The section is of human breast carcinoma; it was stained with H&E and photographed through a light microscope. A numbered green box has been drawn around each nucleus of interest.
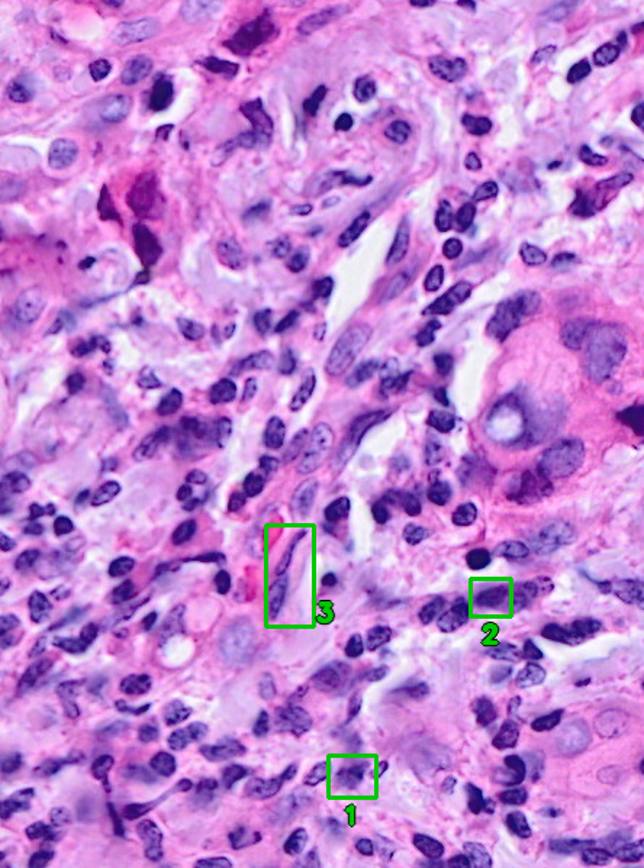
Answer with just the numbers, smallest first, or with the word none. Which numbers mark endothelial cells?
3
